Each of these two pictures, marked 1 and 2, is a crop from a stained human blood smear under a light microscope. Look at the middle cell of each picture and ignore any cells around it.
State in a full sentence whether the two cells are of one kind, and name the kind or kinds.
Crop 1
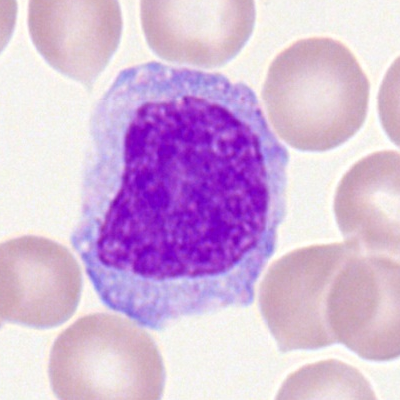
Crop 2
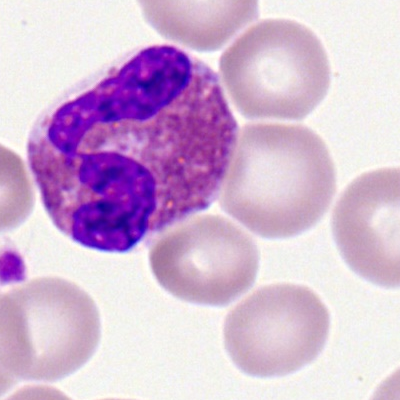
No, look again: crop 1 shows a monocyte, and crop 2 shows an eosinophil.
